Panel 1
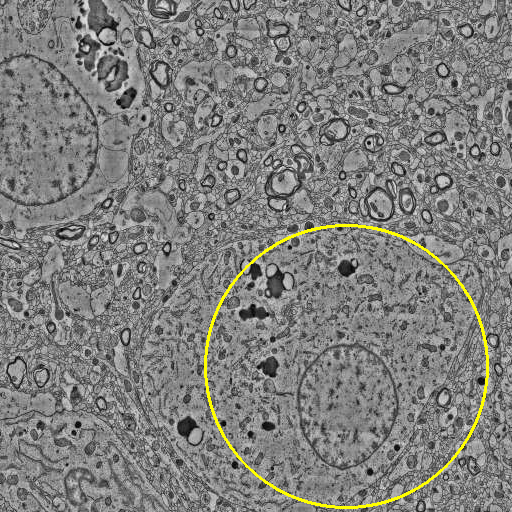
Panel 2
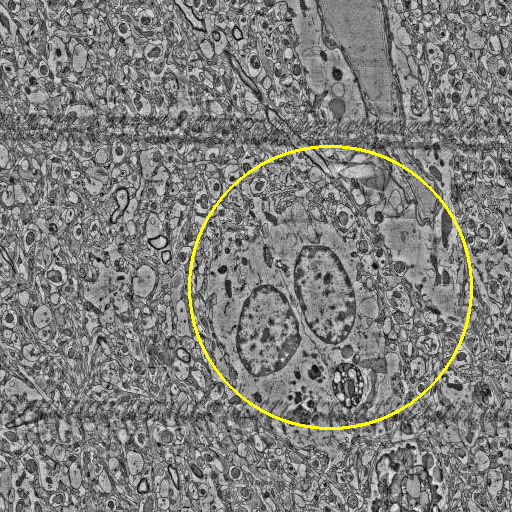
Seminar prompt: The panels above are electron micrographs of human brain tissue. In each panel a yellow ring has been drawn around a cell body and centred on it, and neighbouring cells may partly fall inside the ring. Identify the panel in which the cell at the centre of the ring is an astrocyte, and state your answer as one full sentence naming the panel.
Panel 2 has it at the centre of its ring.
